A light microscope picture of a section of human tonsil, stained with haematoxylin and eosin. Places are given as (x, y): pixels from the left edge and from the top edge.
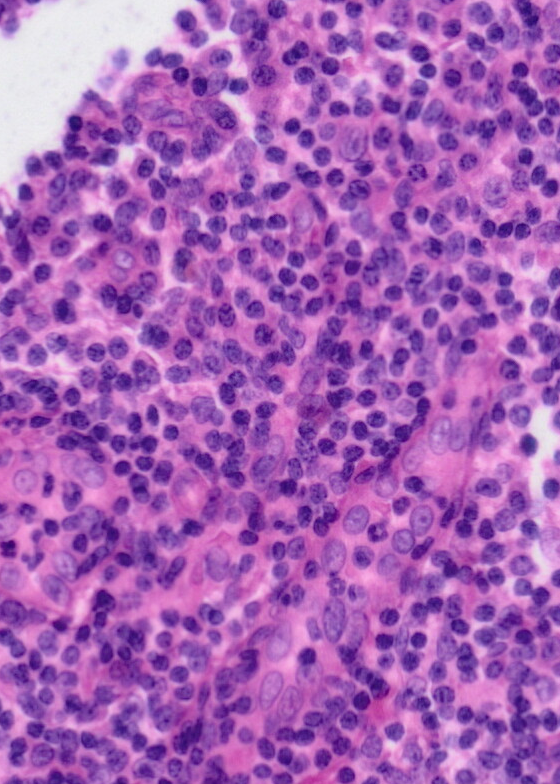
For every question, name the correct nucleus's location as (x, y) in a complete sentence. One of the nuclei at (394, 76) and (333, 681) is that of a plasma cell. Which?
Out of the two, it is the nucleus at (394, 76) that belongs to a plasma cell.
